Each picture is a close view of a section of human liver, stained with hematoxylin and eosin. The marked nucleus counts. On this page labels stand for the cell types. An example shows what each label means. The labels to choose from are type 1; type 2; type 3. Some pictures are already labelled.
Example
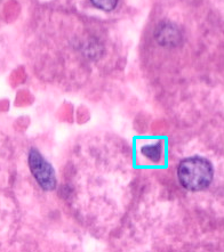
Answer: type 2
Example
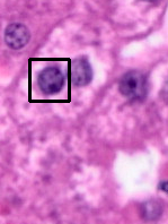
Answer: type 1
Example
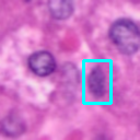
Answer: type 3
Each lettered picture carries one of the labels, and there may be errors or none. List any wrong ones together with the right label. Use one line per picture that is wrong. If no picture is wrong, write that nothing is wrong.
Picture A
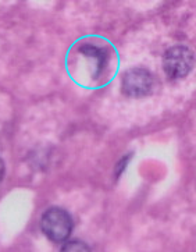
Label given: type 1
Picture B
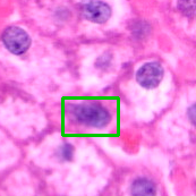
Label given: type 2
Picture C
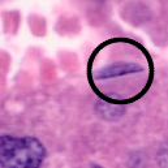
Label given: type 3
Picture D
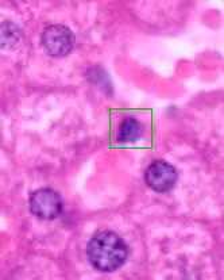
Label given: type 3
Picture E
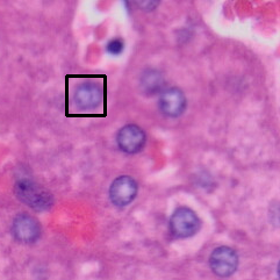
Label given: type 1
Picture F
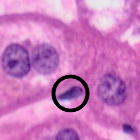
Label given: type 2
A: change type 1 to type 2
